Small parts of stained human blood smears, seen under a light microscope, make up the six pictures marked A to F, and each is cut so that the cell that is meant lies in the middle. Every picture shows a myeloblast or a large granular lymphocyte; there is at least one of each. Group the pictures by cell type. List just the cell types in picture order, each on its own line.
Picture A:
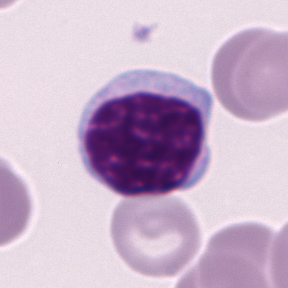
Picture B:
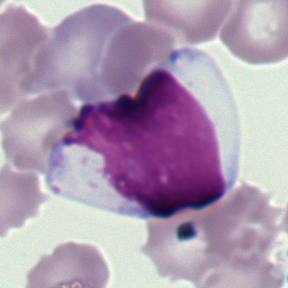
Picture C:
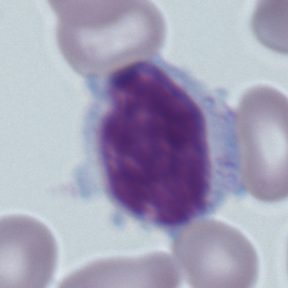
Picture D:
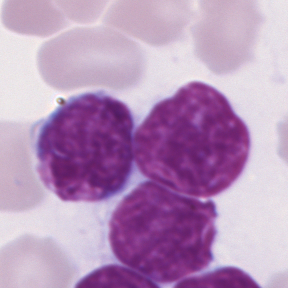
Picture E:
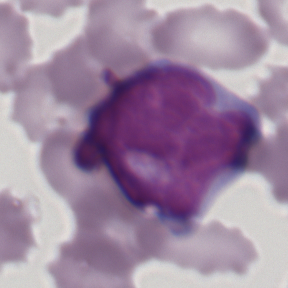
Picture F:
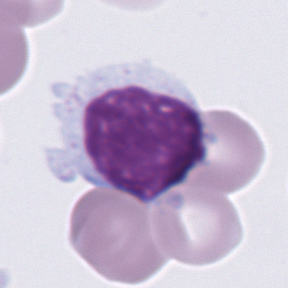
large granular lymphocyte
large granular lymphocyte
large granular lymphocyte
myeloblast
myeloblast
large granular lymphocyte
